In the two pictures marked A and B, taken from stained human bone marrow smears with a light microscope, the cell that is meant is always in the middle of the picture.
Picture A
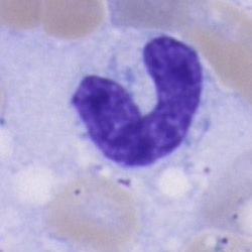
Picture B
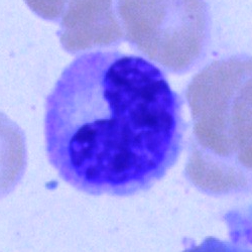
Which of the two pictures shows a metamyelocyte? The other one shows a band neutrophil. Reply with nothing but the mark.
B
